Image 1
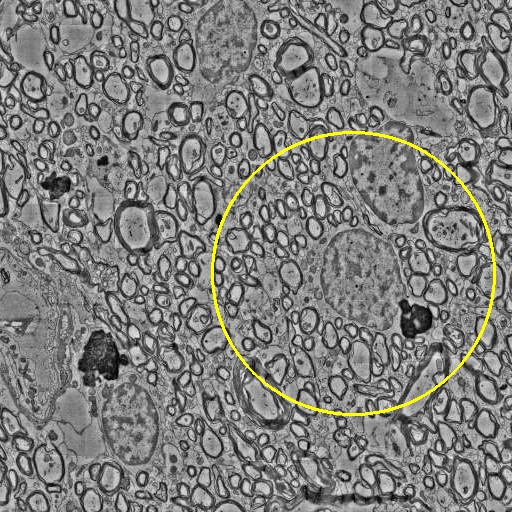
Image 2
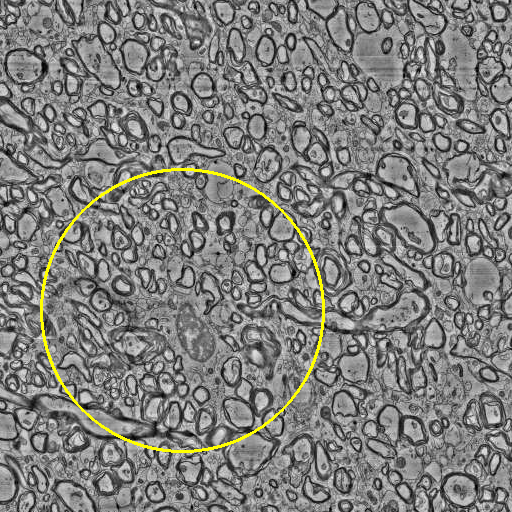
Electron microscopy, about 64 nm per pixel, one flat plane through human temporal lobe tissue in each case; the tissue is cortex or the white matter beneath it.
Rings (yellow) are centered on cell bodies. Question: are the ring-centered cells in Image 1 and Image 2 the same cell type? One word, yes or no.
yes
